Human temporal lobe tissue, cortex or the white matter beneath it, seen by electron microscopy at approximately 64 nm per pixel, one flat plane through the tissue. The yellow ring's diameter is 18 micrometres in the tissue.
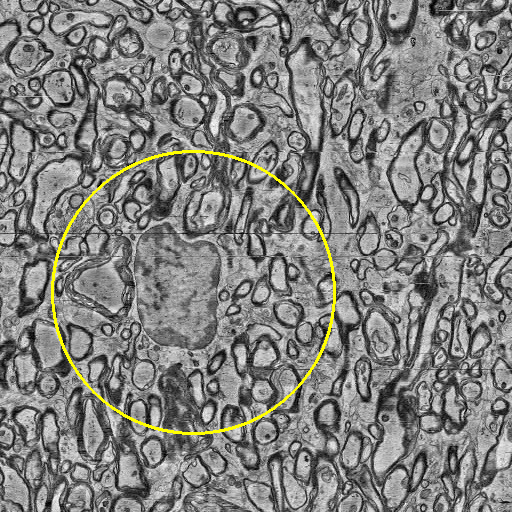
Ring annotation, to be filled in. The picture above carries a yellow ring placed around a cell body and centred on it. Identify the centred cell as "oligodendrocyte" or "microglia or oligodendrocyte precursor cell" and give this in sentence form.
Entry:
The cell in the middle of the ring is a microglial cell or oligodendrocyte precursor cell.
